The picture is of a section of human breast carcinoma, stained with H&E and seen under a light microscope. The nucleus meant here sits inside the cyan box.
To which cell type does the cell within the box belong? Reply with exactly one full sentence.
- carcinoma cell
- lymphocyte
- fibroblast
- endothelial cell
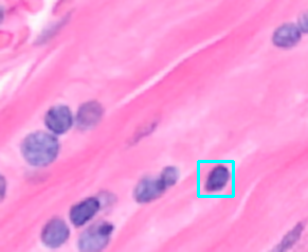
In short, the cell within the box on this section is a lymphocyte.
